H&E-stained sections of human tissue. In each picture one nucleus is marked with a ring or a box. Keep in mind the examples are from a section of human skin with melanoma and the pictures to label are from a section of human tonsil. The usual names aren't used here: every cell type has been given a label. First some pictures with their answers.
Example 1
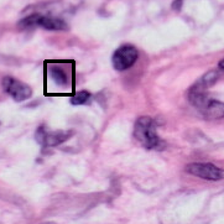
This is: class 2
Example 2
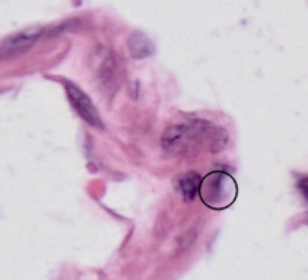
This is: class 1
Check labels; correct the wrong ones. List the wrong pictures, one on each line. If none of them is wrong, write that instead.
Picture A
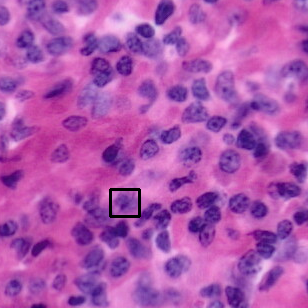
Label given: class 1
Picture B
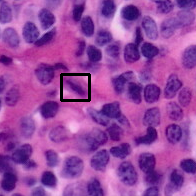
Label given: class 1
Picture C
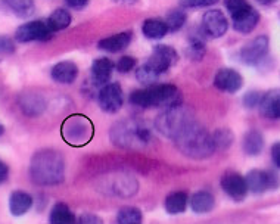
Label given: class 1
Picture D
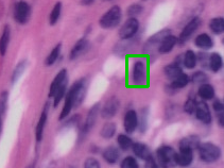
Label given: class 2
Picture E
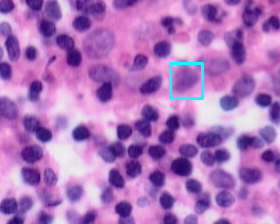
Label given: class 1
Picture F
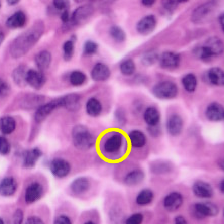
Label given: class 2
D: class 1, not class 2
